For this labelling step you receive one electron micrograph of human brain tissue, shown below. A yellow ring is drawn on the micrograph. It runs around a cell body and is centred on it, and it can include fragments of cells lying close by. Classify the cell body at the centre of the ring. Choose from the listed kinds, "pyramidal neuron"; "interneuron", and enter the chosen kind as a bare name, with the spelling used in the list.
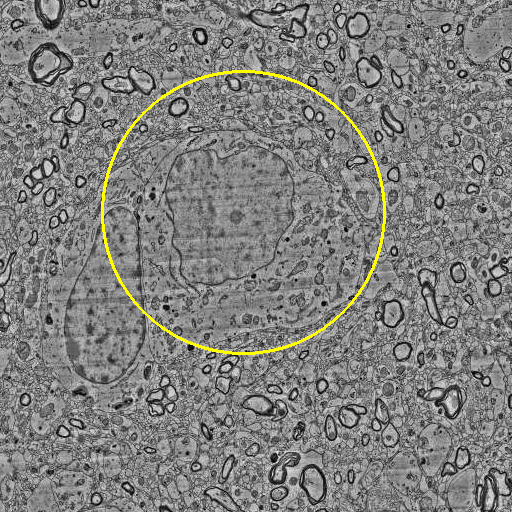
pyramidal neuron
